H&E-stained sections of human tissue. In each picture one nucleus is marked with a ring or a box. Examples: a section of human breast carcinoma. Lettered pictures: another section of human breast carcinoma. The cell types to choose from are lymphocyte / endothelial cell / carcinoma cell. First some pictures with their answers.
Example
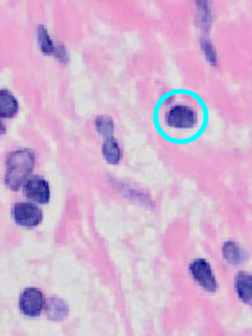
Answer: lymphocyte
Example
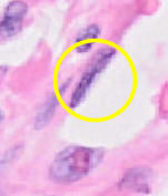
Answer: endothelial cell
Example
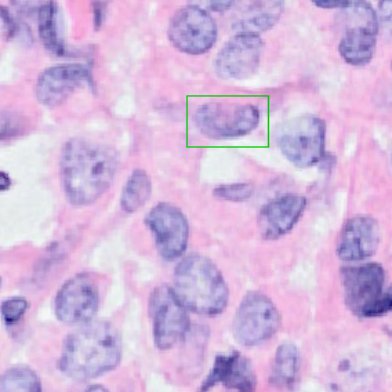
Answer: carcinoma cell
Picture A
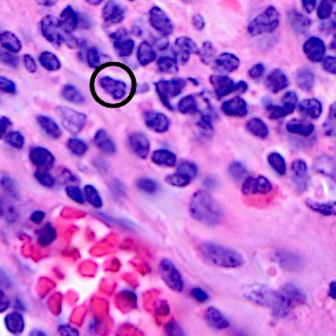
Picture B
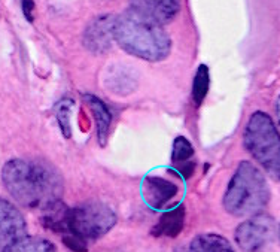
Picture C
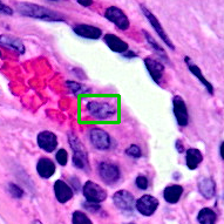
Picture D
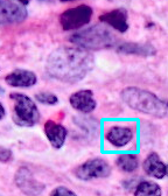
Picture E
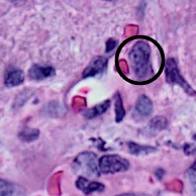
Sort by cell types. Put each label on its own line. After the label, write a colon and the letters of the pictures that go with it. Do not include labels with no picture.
lymphocyte: A, D
endothelial cell: C, E
carcinoma cell: B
